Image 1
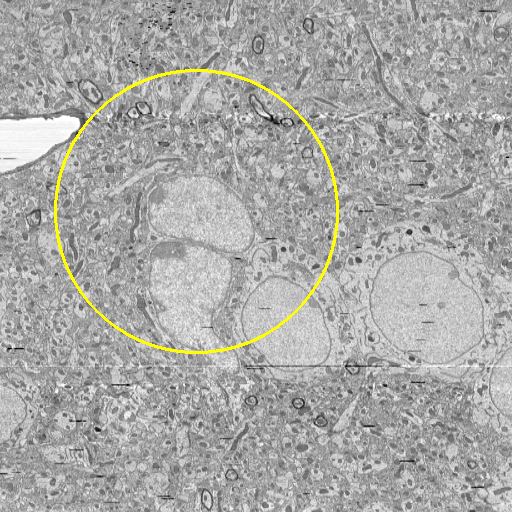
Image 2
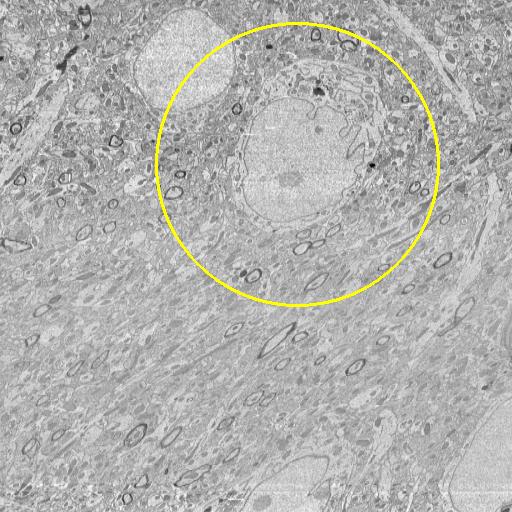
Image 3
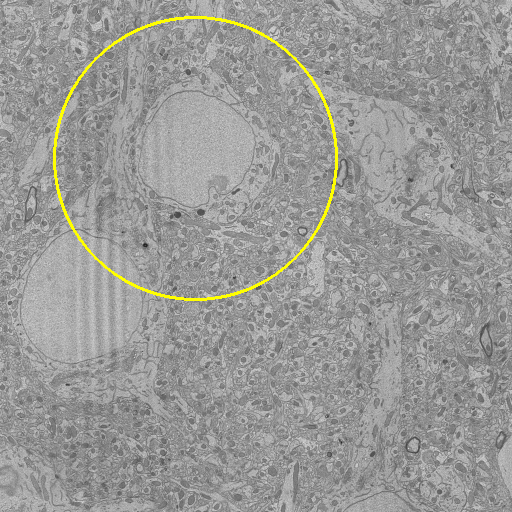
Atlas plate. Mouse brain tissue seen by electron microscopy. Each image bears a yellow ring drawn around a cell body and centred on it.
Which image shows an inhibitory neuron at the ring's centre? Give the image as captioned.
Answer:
Image 2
